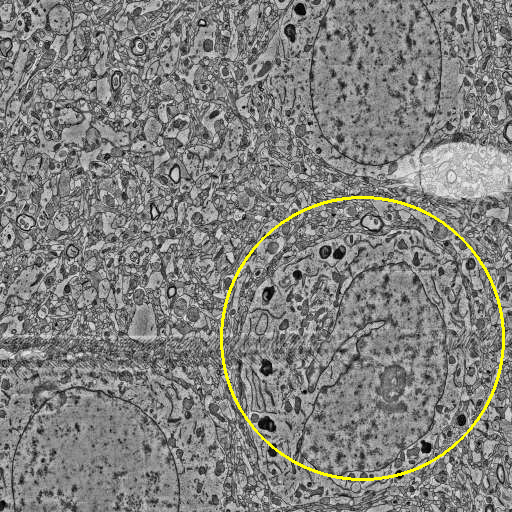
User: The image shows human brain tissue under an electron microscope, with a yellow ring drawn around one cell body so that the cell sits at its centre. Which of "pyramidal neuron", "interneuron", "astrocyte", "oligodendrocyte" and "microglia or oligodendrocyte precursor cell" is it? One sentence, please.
At the centre of the ring sits an interneuron.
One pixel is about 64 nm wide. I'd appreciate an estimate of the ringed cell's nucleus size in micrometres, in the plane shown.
In this plane, about 14 by 9 micrometres: the nucleus is clearly longer than it is wide.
